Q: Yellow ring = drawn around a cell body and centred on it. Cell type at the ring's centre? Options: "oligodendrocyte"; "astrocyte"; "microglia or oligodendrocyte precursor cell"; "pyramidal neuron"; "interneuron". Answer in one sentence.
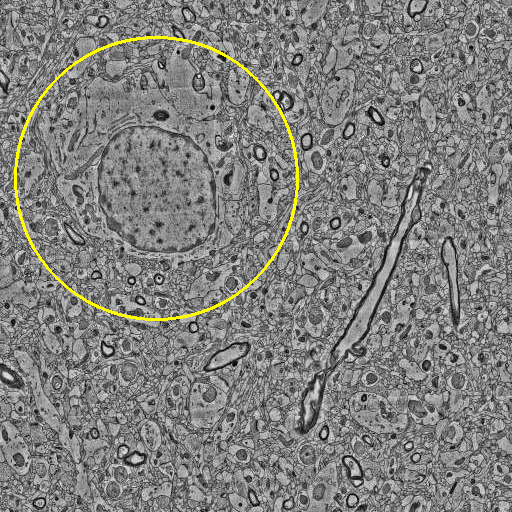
Centred in the ring is a microglial cell or oligodendrocyte precursor cell.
